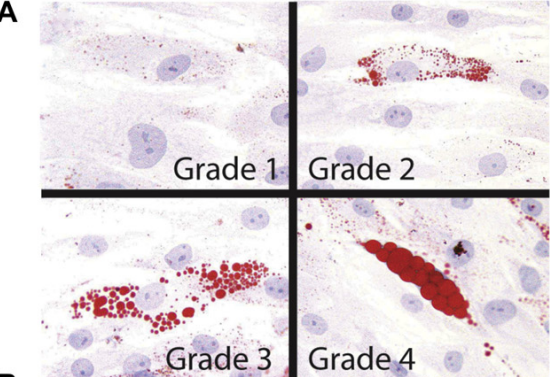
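Cultured spindle-shaped and flattened cells in a thin, pale monolayer, with oval, pale blue nuclei showing fine chromatin and small nucleoli. Cytoplasm is faint and largely unstained. In some cells bright red round lipid droplets lie in the cytoplasm beside the nucleus: in one quadrant only a few tiny scattered dots, in another a cluster of small droplets, in another many droplets of mixed sizes, and in the last large coalescing red droplets that crowd and fill much of a single elongated cell. Neighbouring cells around these remain almost free of red droplets.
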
